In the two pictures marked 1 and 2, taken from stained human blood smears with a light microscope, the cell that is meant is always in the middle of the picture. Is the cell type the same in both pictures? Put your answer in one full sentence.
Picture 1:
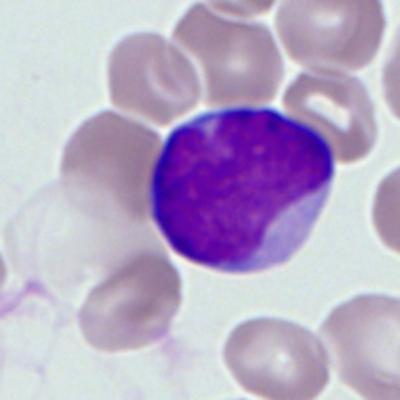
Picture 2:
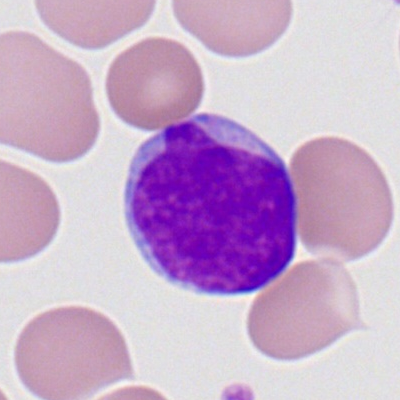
Yes, both are myeloblasts.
